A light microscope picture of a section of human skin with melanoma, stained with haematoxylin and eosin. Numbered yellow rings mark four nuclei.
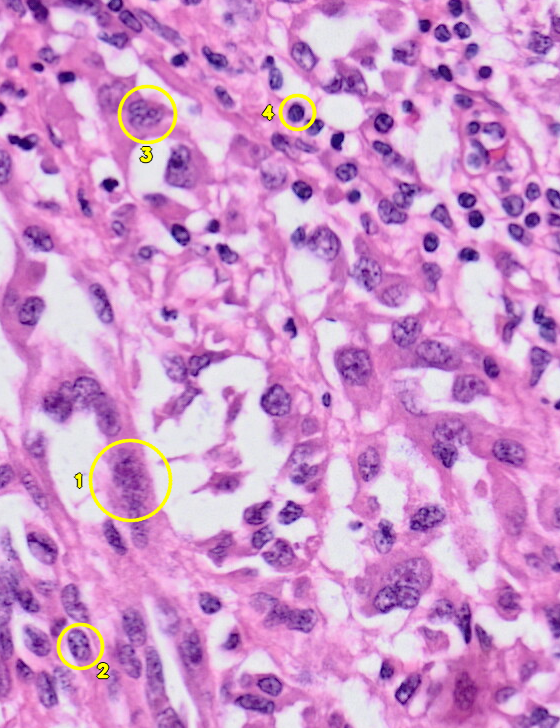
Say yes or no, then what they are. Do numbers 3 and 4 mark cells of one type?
No, cell 3 is a melanoma cell and cell 4 is a lymphocyte.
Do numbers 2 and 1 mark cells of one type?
Yes, both are melanoma cells.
